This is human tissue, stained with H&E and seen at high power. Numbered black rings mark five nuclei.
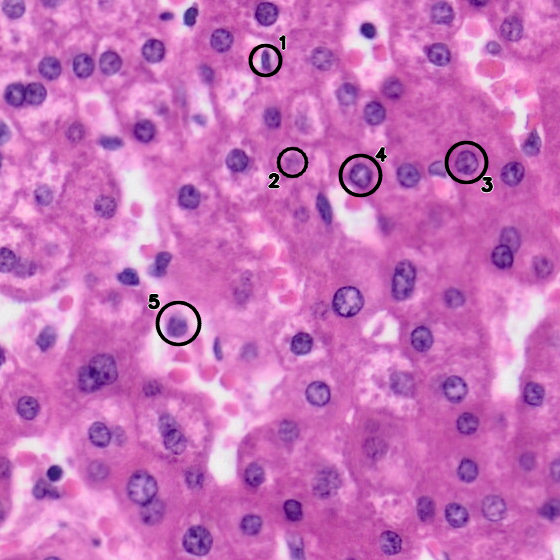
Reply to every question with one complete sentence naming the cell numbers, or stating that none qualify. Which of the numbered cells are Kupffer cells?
Just the cell marked 5 is a Kupffer cell; none of the other marked cells is.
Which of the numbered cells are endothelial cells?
Only cell 1 qualifies as an endothelial cell among the numbered cells.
